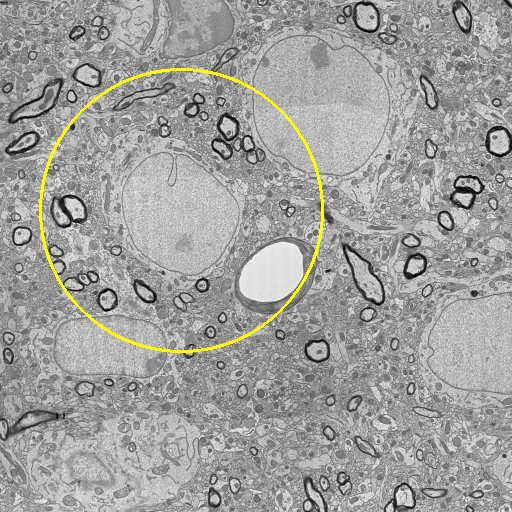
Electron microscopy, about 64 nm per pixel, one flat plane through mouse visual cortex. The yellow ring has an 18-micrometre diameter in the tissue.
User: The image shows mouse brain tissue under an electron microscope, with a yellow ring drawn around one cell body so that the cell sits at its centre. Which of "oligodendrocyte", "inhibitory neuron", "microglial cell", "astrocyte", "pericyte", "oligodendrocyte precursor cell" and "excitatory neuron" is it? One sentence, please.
At the centre of the ring sits an excitatory neuron.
